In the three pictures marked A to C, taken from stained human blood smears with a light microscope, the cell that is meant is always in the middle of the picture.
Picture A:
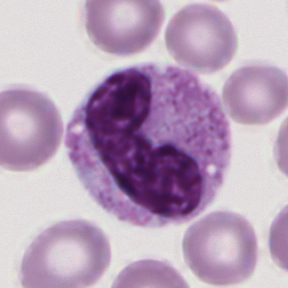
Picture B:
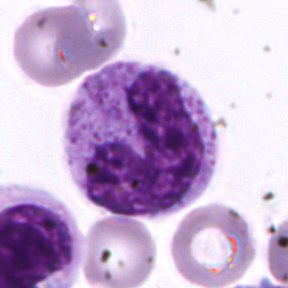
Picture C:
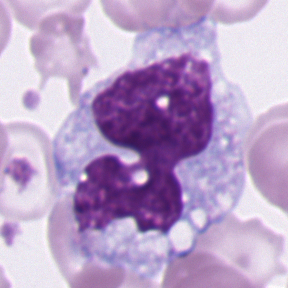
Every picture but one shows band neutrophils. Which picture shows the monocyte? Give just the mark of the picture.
C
